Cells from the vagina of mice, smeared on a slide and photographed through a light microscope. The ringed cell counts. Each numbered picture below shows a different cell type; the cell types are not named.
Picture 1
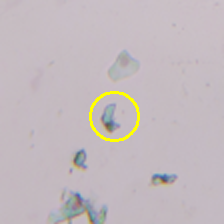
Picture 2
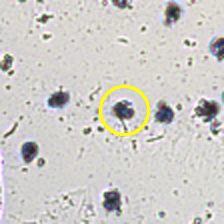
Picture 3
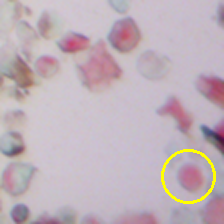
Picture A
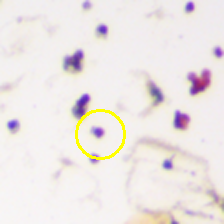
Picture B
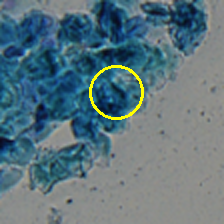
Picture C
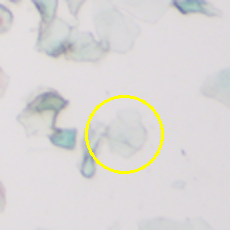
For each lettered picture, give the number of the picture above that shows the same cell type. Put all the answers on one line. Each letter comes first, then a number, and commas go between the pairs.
A 2, B 1, C 1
